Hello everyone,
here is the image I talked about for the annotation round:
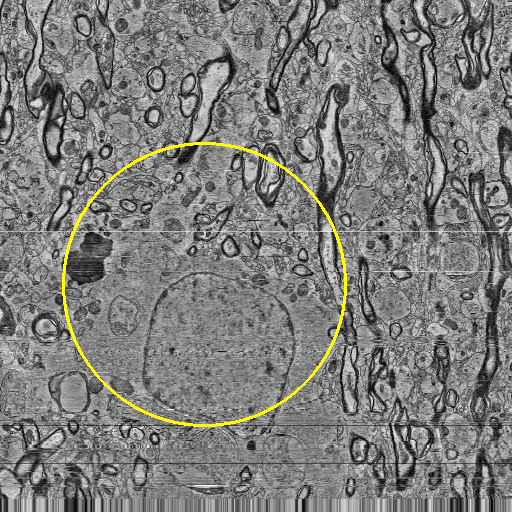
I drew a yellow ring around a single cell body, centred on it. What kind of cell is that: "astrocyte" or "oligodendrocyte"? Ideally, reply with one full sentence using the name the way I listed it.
The cell your yellow ring is centred on is an astrocyte, going by your list.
